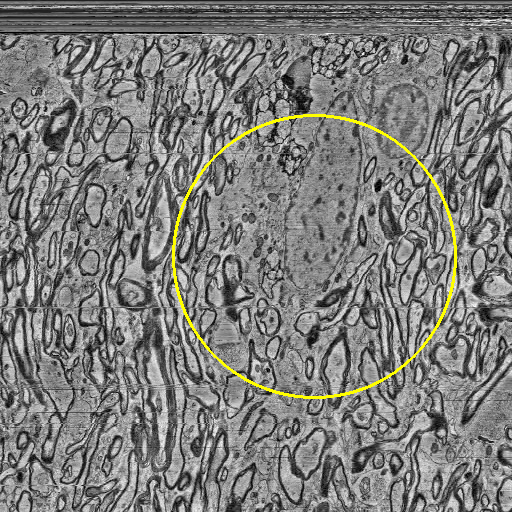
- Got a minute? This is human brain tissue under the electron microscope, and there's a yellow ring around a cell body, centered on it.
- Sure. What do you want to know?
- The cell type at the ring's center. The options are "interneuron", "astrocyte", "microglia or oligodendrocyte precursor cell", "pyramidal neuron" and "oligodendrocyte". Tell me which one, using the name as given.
astrocyte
